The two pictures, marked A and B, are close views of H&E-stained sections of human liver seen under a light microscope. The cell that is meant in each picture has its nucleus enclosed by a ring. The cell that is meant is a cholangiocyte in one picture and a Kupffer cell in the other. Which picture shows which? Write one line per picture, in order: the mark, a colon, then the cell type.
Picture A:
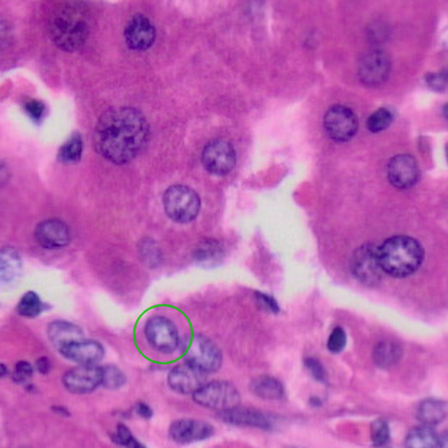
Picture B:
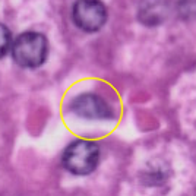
A: cholangiocyte
B: Kupffer cell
